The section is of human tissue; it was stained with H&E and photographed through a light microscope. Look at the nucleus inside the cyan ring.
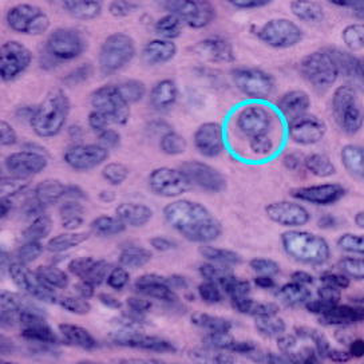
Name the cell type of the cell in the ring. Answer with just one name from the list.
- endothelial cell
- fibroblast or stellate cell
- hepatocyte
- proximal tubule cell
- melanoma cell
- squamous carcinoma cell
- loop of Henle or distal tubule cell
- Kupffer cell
squamous carcinoma cell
